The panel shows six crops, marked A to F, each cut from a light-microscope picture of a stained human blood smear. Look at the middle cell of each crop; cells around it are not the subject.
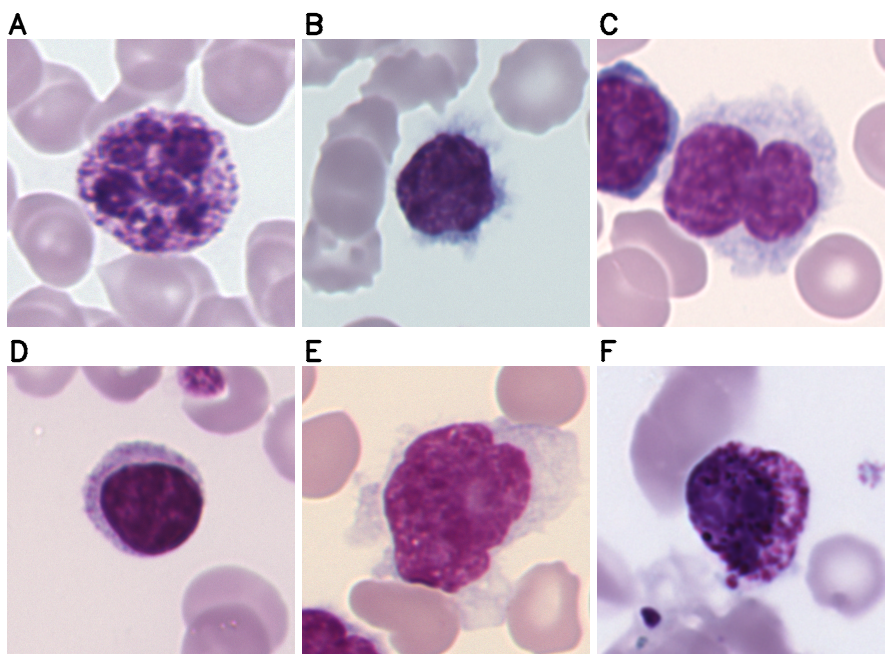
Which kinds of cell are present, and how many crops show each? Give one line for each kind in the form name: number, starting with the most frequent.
hairy cell: 3
basophil: 2
large granular lymphocyte: 1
